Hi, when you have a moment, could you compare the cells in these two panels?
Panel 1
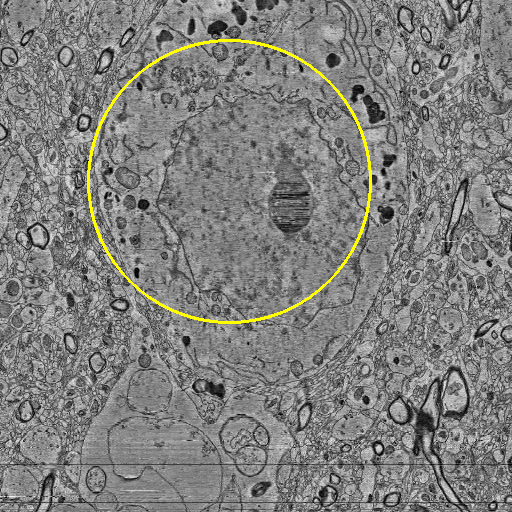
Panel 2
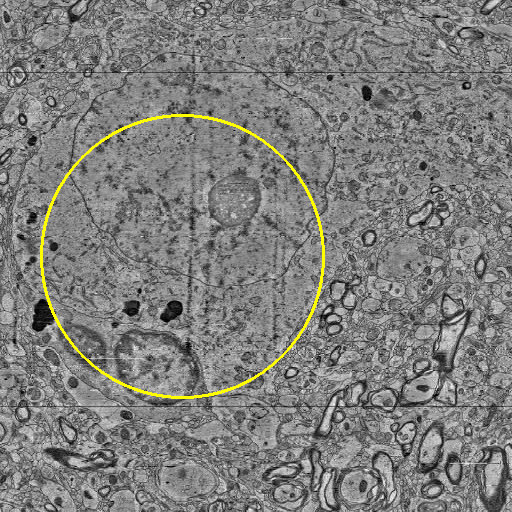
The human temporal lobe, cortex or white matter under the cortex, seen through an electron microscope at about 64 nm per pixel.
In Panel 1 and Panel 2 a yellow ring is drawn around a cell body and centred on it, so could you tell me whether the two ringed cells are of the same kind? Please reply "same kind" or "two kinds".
same kind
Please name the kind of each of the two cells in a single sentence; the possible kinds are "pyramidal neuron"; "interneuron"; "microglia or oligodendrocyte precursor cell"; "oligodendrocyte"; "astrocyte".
Both pictures show a pyramidal neuron at the centre of the ring.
